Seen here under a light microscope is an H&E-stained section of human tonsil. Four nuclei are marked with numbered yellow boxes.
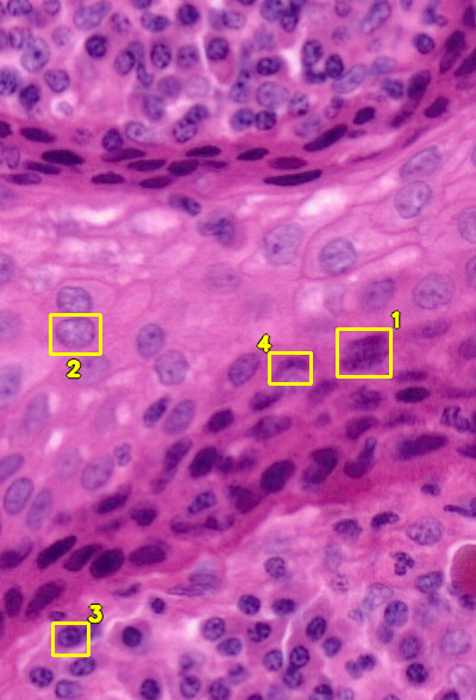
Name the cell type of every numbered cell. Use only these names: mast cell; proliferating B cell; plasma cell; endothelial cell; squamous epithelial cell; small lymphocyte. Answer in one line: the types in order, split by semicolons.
squamous epithelial cell; squamous epithelial cell; plasma cell; squamous epithelial cell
